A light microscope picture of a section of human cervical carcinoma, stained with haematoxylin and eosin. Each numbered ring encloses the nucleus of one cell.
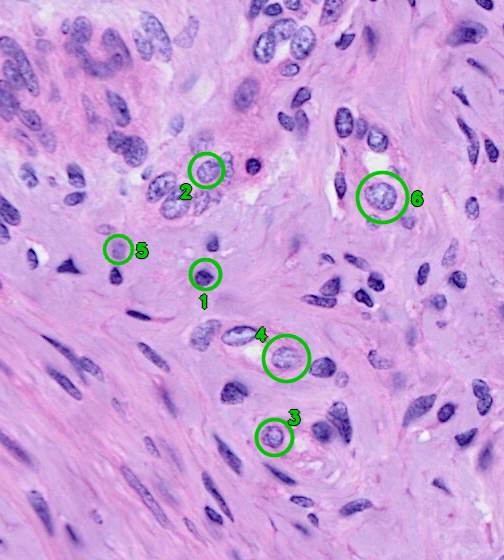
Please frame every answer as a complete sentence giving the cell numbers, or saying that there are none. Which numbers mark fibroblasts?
Identification: the cells with numbers 1 and 5 are fibroblasts.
